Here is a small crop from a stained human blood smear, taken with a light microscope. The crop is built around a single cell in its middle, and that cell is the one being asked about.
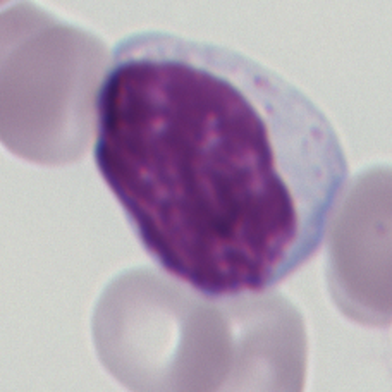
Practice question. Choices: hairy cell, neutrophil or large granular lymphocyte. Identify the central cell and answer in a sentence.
This crop's central cell is a large granular lymphocyte.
